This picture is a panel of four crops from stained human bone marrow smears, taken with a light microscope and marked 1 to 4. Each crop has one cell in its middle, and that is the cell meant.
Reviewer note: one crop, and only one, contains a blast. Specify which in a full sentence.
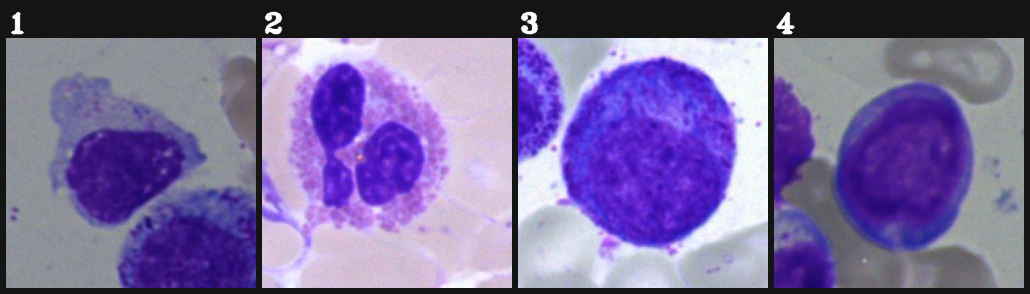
The one that shows a blast is crop 4.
